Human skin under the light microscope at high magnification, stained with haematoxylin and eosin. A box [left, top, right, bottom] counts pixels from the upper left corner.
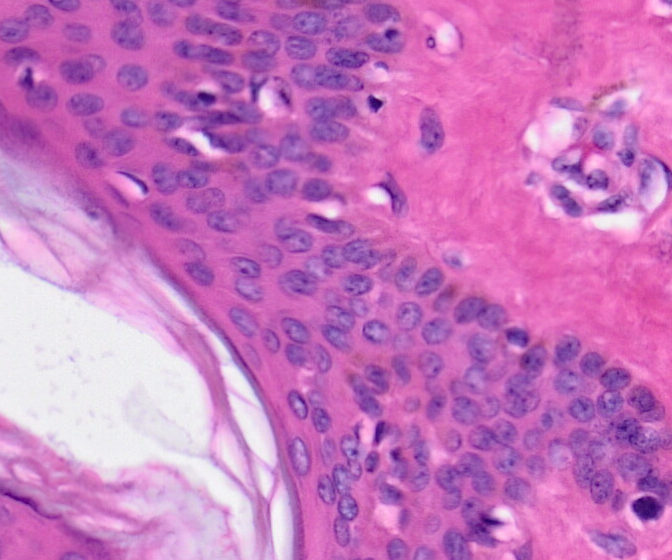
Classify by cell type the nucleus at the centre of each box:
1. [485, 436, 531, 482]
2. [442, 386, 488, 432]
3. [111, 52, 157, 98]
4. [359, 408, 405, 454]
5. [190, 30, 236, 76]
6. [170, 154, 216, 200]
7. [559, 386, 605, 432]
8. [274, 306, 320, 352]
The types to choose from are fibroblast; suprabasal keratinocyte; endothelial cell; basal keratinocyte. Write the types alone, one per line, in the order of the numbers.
basal keratinocyte
suprabasal keratinocyte
suprabasal keratinocyte
basal keratinocyte
basal keratinocyte
suprabasal keratinocyte
suprabasal keratinocyte
suprabasal keratinocyte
